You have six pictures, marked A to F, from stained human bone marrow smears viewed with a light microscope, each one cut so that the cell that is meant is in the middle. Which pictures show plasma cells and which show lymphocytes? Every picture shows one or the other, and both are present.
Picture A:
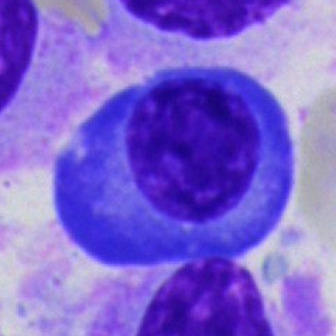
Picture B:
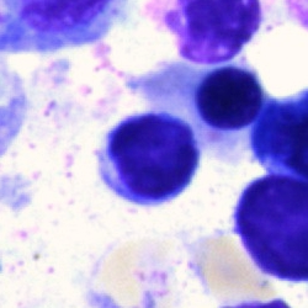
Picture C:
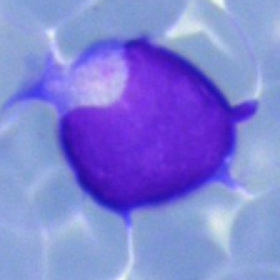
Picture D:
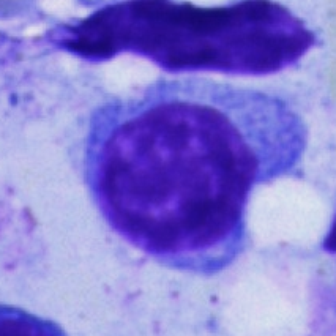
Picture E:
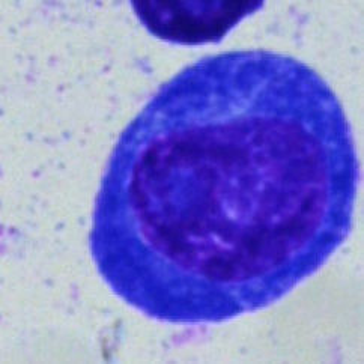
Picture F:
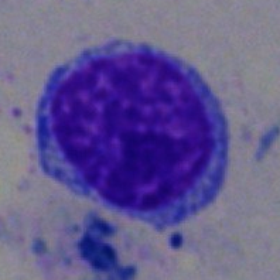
A: plasma cell
B: lymphocyte
C: lymphocyte
D: lymphocyte
E: plasma cell
F: lymphocyte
